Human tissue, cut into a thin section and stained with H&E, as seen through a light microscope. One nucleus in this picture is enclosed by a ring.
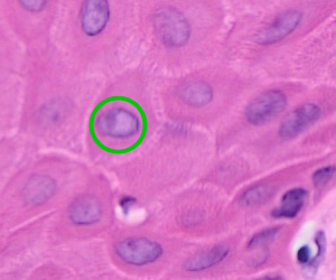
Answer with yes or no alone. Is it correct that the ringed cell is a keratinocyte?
yes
